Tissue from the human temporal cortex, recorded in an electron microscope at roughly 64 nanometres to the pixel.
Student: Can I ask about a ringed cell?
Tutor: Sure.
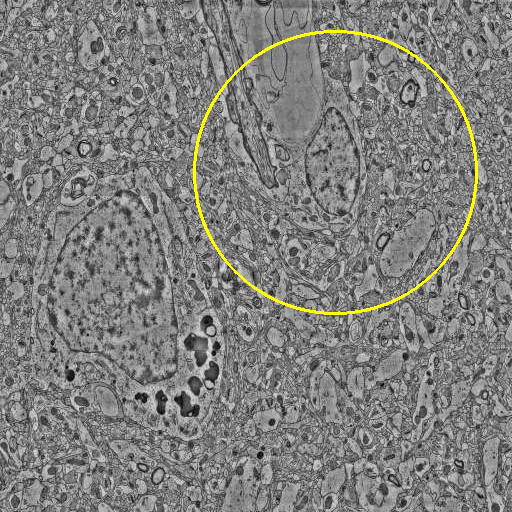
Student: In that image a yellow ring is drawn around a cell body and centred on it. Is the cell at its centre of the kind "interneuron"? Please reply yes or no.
No, the cell is of another kind.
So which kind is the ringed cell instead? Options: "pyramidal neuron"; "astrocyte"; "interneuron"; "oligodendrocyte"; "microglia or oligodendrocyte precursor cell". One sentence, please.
Sitting at the ring centre is a microglial cell or oligodendrocyte precursor cell.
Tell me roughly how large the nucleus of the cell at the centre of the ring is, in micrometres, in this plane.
Approximately 7 by 3 micrometers, which makes the nucleus clearly longer than it is wide in this plane.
